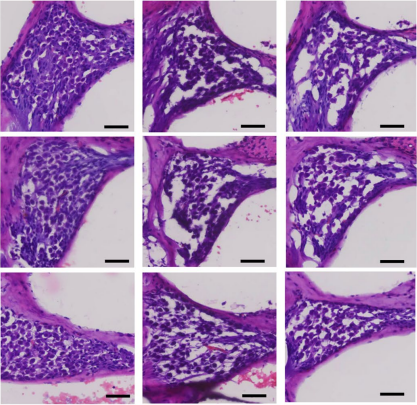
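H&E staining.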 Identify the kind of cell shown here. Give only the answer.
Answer: Spiral ganglion cells.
